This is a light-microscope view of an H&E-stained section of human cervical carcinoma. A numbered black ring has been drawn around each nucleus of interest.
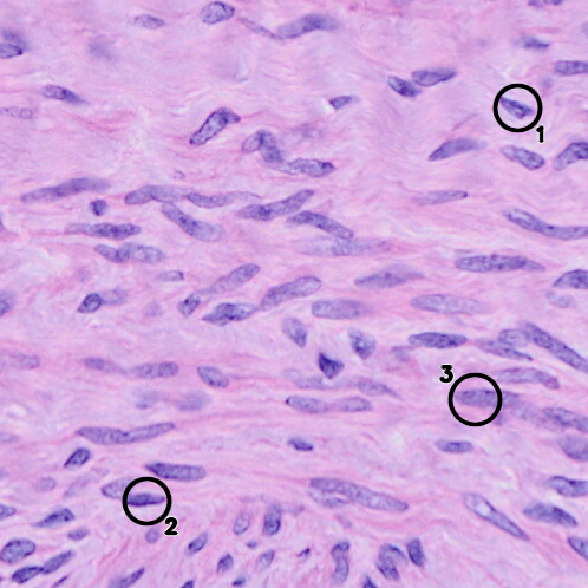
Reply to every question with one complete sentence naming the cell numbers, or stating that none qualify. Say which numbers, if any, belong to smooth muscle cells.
With the exception of cell 3, no marked cell is a smooth muscle cell.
